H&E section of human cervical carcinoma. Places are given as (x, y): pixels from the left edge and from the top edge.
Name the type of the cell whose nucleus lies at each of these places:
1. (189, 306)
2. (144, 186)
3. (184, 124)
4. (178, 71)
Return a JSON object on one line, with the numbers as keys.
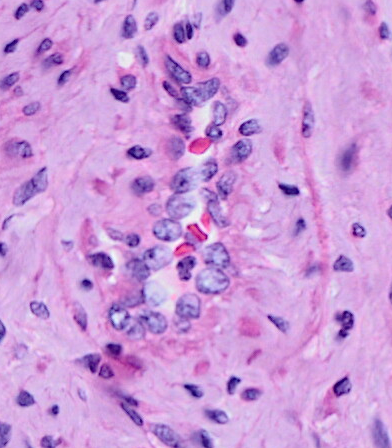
{"1": "endothelial cell", "2": "smooth muscle cell", "3": "endothelial cell", "4": "endothelial cell"}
